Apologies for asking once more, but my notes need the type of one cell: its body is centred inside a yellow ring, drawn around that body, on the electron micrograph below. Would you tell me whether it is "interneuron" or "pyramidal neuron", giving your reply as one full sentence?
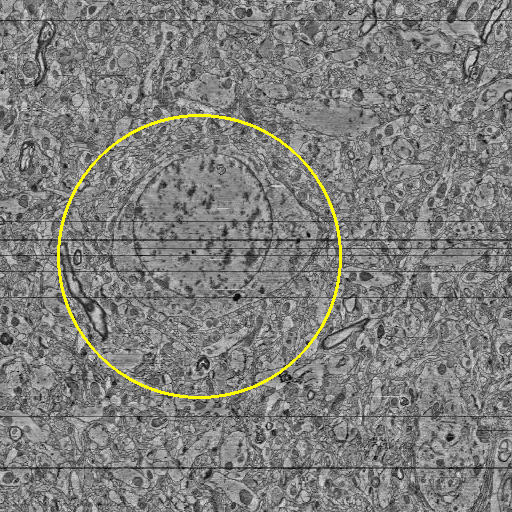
The cell that the yellow ring is centred on is a pyramidal neuron in this micrograph.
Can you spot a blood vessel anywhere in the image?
No, no blood vessel can be seen.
